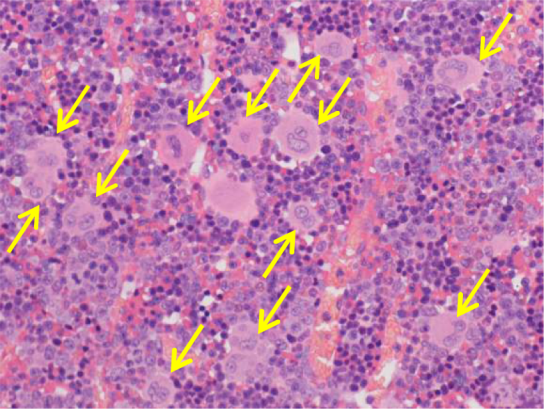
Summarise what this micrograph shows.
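This is bone marrow with many scattered megakaryocytes, each much larger than its neighbours, with a broad rim of pale pink cytoplasm and a large, lobulated purple nucleus. Around them lie densely packed small hematopoietic cells with round, dark nuclei, crossed by thin sinusoidal channels containing red cells.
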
